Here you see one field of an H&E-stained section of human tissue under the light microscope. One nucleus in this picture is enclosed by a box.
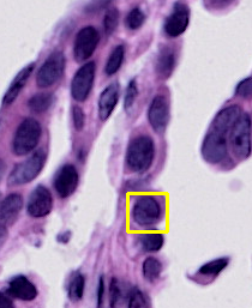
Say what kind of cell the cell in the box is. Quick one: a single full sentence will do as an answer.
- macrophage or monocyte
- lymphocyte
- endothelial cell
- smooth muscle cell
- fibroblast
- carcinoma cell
In terms of identity, the cell in the box is a carcinoma cell.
